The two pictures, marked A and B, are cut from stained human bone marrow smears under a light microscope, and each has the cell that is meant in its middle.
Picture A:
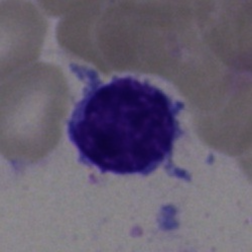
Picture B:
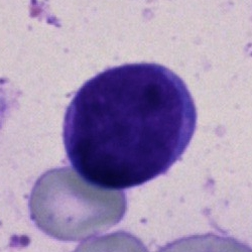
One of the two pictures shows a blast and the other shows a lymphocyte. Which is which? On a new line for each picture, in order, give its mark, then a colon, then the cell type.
A: lymphocyte
B: blast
